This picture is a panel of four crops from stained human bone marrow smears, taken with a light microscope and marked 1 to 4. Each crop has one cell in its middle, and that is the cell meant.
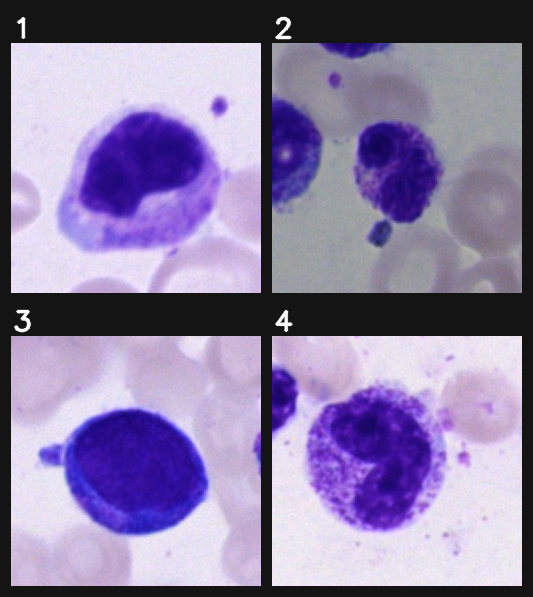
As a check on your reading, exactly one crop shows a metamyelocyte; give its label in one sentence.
The crop with a metamyelocyte in it is crop 1.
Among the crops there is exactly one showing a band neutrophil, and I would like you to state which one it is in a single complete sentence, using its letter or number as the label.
The one crop that shows a band neutrophil is crop 4.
